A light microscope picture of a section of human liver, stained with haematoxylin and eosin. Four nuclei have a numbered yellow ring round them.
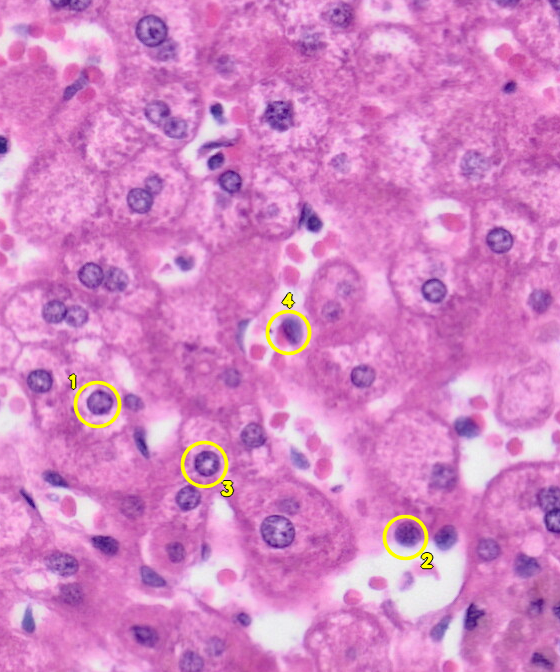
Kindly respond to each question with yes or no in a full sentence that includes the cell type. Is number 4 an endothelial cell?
Yes, the cell that goes by number 4 is an endothelial cell.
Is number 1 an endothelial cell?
No, number 1 is assigned to a hepatocyte, not to an endothelial cell.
